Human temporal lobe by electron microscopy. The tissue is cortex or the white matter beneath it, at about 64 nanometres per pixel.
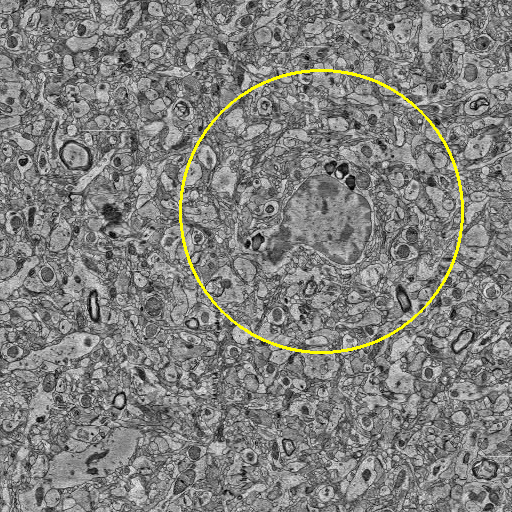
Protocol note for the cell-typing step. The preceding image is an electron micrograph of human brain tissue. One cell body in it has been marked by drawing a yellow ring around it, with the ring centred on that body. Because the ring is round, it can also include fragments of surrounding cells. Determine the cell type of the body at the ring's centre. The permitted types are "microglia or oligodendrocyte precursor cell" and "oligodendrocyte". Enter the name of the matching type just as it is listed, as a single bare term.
microglia or oligodendrocyte precursor cell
